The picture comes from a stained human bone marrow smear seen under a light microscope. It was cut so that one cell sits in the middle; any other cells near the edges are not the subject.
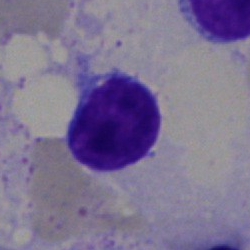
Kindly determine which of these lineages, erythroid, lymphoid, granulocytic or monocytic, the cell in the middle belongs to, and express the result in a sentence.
The centered cell is a member of the lymphoid lineage.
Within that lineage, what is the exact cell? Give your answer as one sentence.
The cell positioned in the middle of the field is a lymphocyte.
